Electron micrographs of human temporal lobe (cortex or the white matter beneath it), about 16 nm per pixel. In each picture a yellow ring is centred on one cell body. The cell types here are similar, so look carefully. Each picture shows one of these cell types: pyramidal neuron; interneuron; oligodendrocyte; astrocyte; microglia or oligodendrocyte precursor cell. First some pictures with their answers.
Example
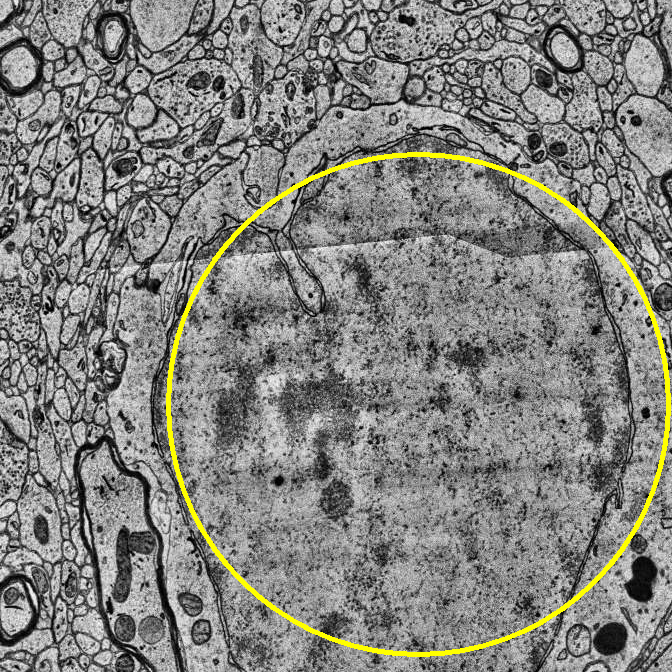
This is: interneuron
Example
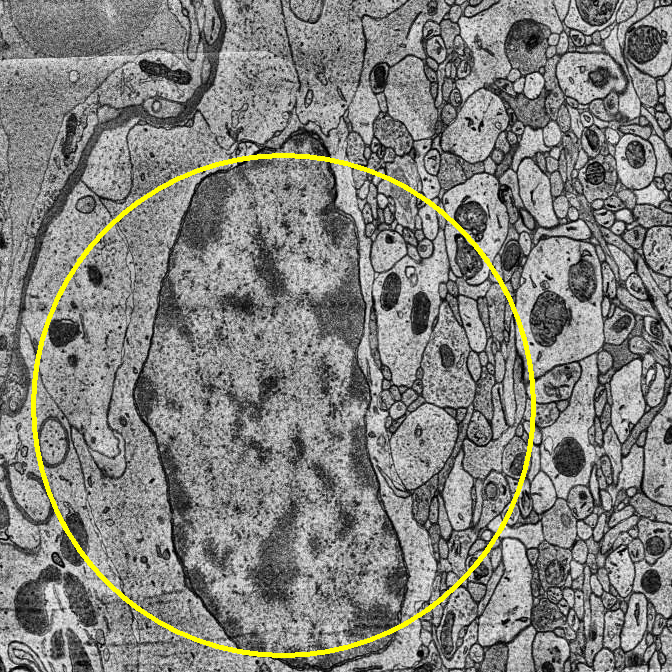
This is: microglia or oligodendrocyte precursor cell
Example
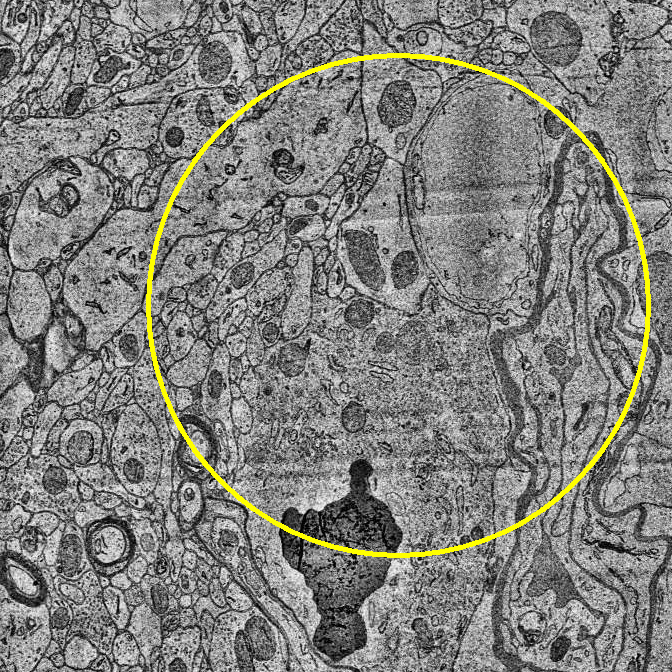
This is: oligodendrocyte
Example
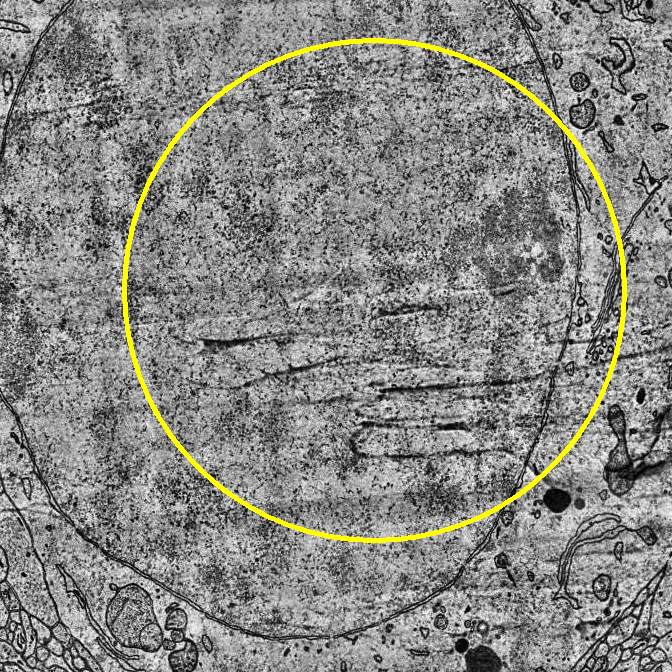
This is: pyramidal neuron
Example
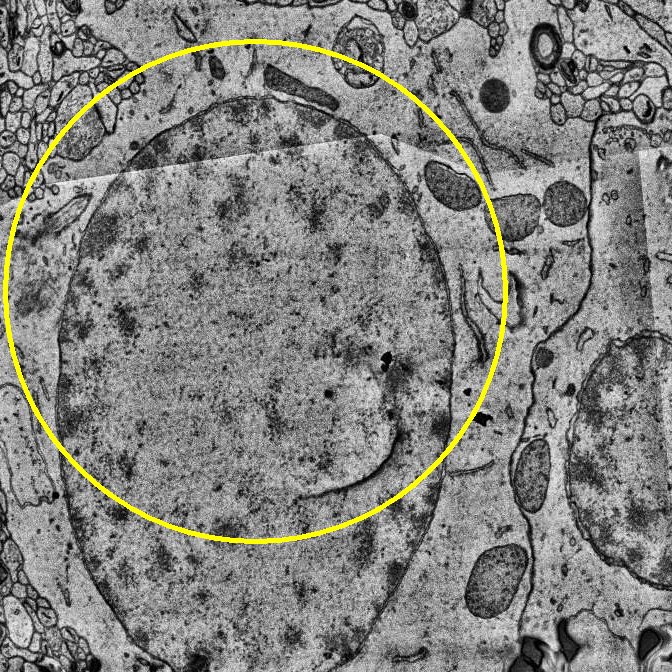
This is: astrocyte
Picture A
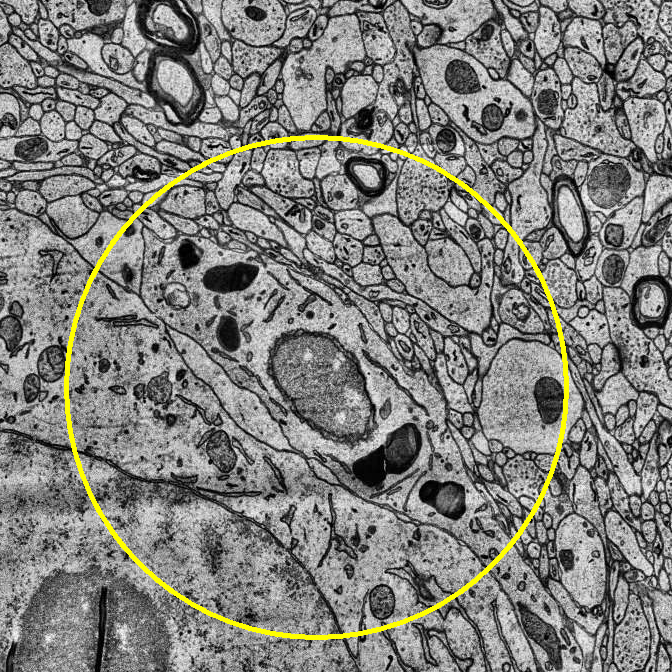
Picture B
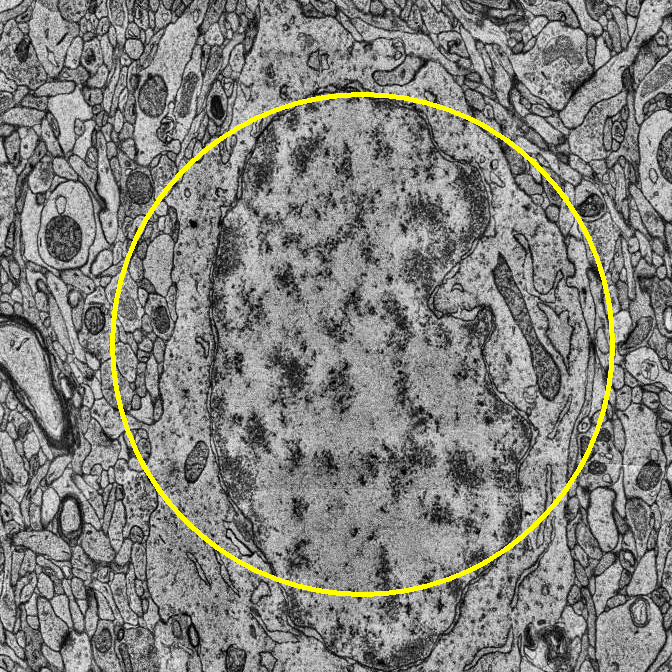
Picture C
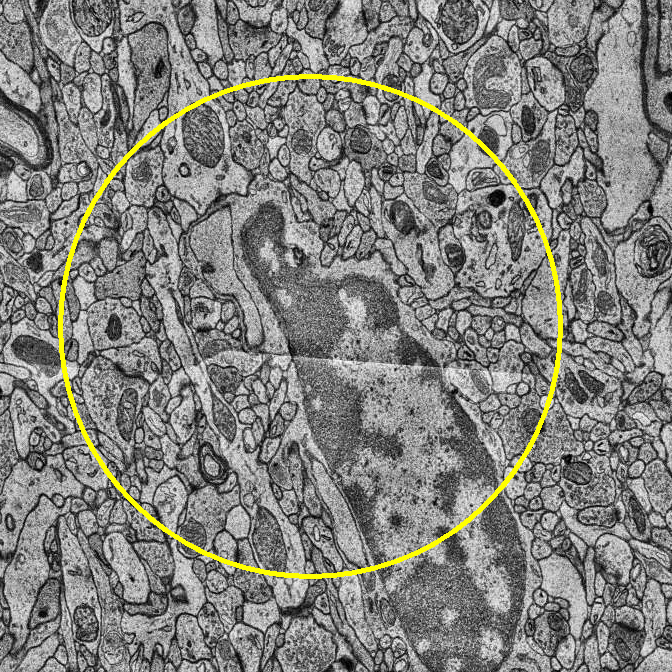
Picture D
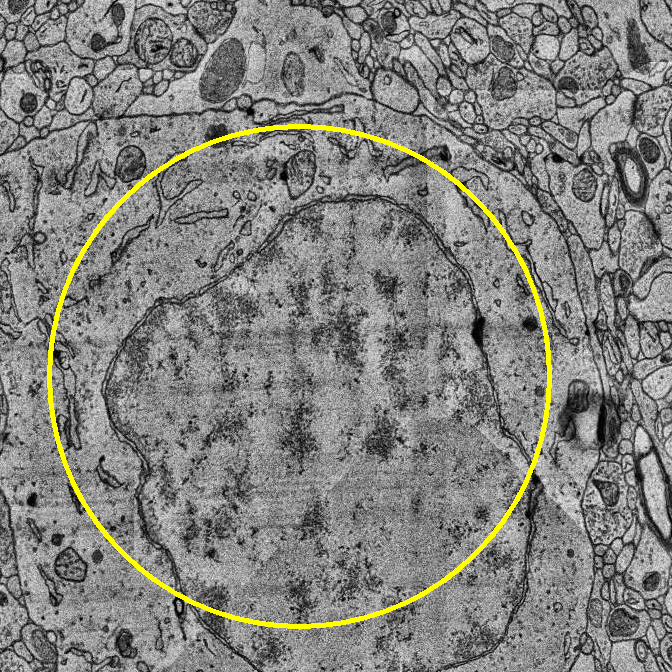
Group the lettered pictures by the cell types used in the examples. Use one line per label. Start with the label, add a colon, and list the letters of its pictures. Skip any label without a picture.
pyramidal neuron: D
interneuron: B
microglia or oligodendrocyte precursor cell: A, C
